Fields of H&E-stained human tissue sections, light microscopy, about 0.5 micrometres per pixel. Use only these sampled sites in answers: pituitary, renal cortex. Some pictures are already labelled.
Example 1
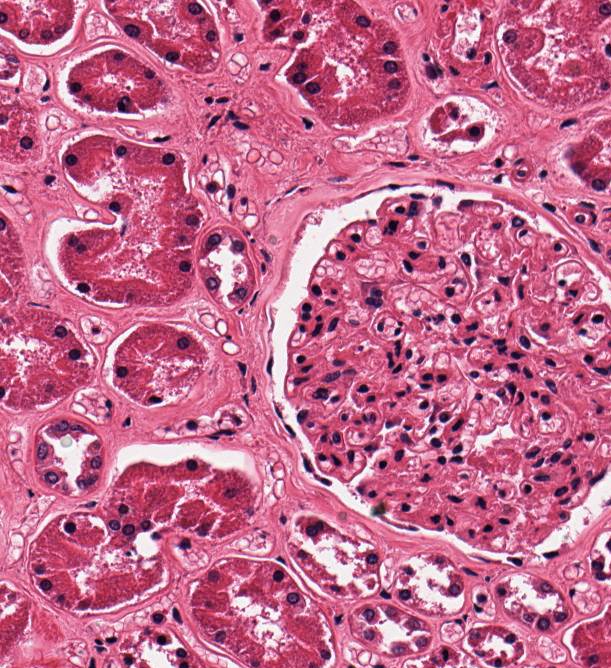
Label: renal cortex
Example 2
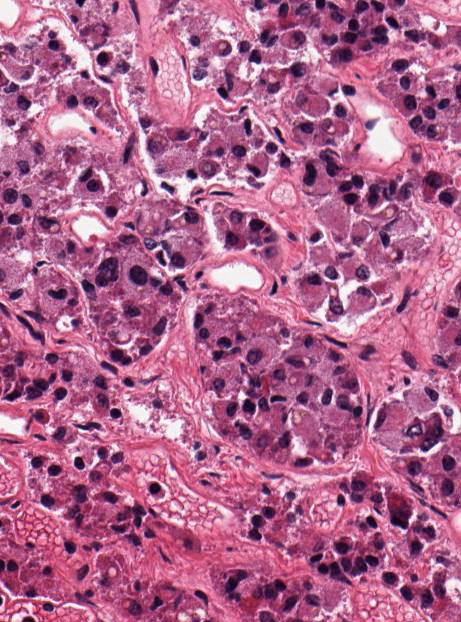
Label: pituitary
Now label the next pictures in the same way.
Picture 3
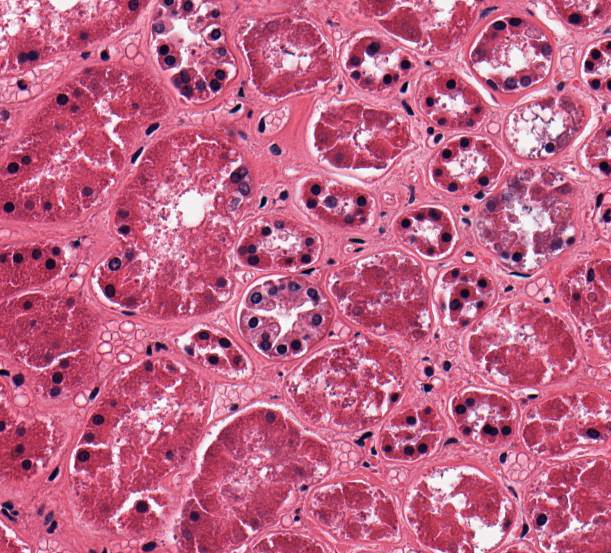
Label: renal cortex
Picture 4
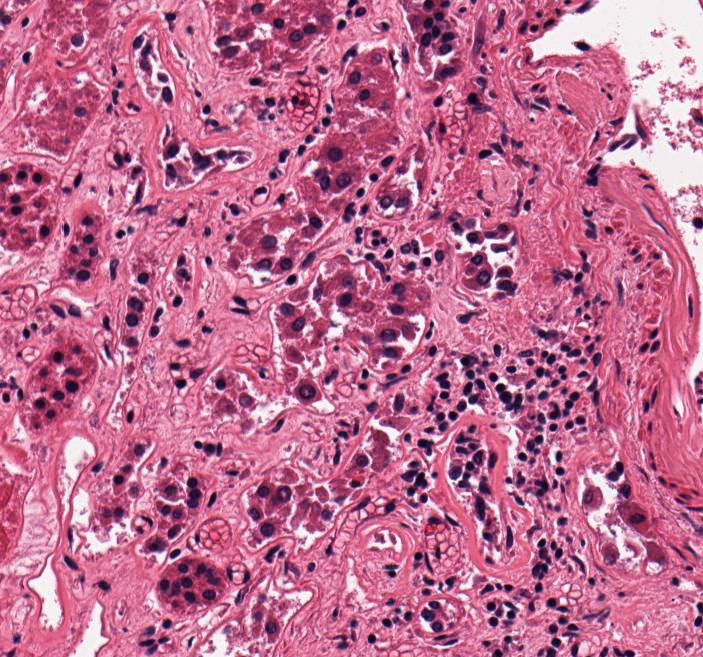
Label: renal cortex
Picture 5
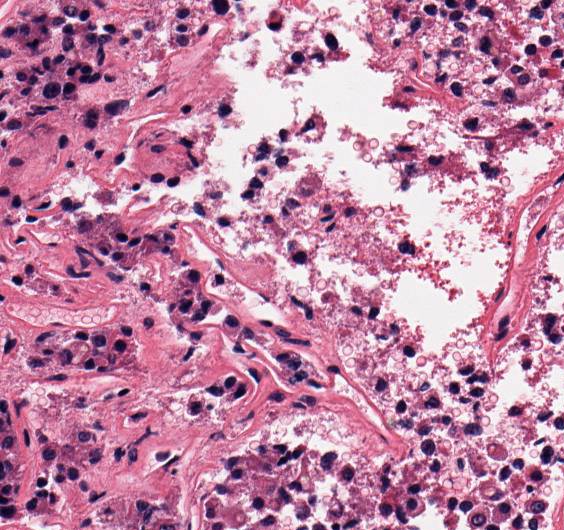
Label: pituitary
